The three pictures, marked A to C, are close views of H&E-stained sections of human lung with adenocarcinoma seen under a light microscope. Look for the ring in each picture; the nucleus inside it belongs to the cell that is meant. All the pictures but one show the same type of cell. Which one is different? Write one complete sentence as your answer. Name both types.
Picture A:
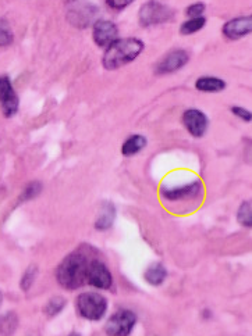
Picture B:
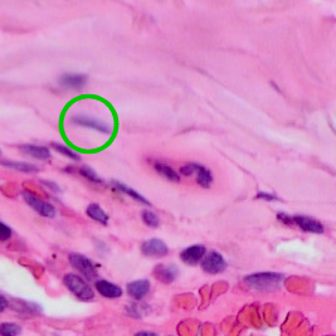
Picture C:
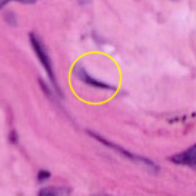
Unlike the rest, which show fibroblasts, picture A shows an endothelial cell.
